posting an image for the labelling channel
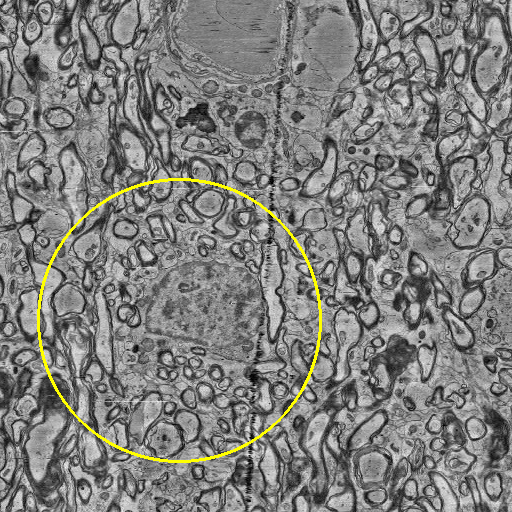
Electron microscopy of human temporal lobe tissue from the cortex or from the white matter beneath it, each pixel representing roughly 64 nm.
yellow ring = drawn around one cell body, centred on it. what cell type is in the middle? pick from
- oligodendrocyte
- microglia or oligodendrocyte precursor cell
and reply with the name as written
oligodendrocyte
